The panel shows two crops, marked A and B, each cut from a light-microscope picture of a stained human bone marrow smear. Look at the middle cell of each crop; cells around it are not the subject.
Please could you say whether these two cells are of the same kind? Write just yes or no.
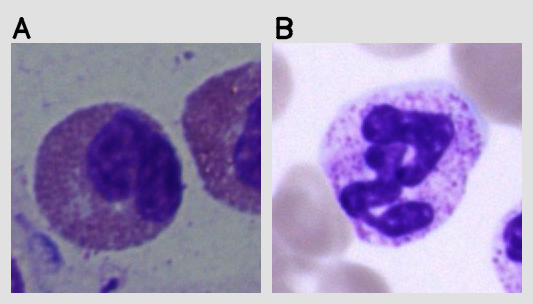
no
